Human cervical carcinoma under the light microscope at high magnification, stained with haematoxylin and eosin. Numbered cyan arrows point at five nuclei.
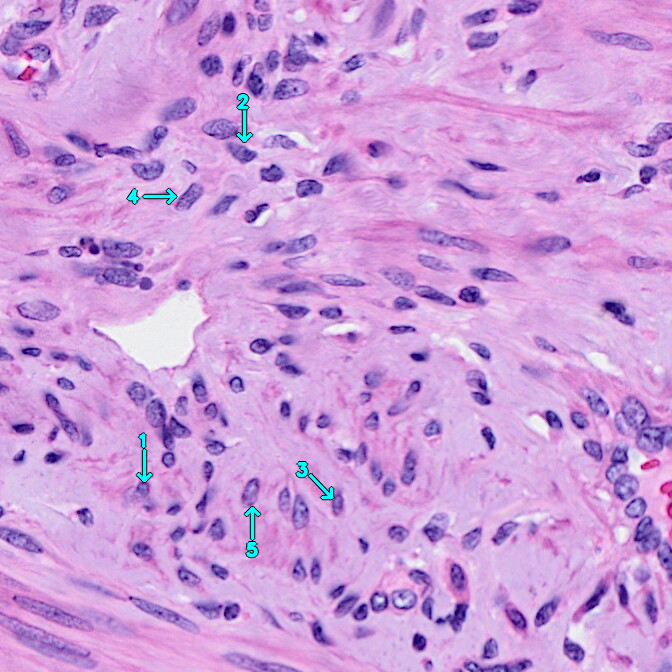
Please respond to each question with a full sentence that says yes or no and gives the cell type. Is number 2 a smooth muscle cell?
No, cell 2 should be classed as a fibroblast, not as a smooth muscle cell.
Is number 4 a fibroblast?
Yes, the cell with its nucleus marked 4 is a fibroblast.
